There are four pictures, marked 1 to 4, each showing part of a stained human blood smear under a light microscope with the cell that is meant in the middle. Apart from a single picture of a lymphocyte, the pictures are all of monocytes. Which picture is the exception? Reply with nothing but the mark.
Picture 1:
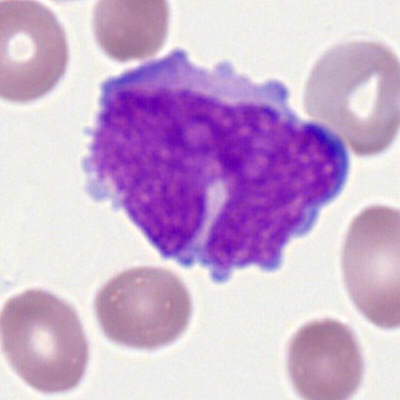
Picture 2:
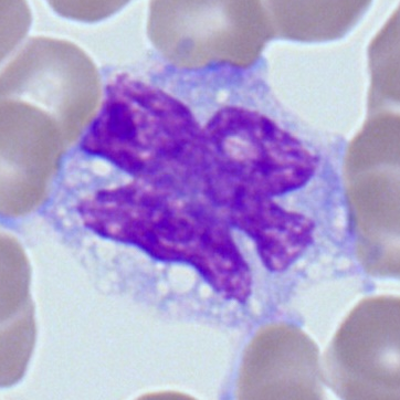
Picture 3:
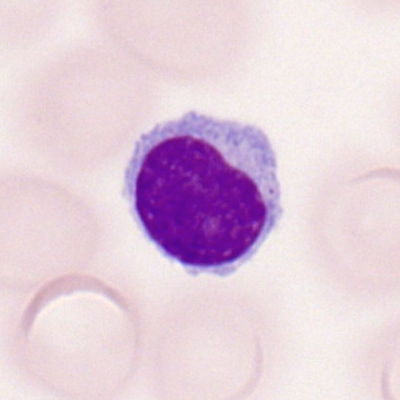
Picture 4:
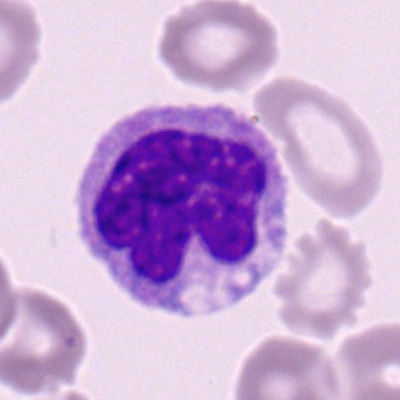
3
